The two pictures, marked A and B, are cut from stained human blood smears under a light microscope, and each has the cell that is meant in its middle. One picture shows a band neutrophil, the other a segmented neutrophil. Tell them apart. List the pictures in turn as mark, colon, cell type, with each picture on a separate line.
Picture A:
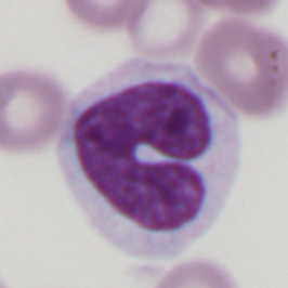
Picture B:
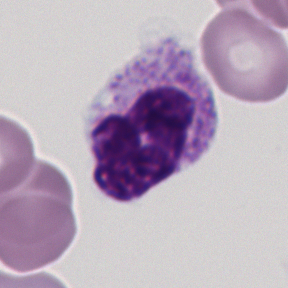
A: band neutrophil
B: segmented neutrophil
